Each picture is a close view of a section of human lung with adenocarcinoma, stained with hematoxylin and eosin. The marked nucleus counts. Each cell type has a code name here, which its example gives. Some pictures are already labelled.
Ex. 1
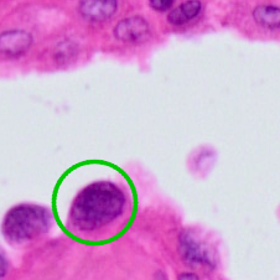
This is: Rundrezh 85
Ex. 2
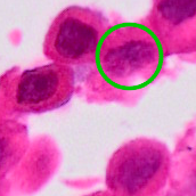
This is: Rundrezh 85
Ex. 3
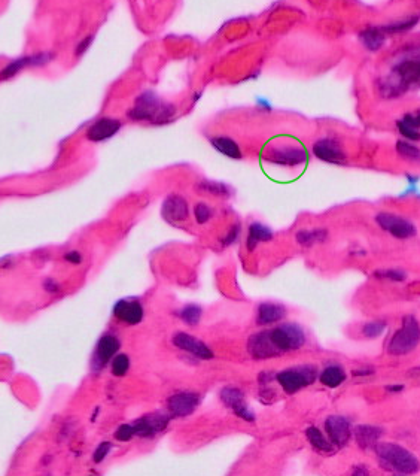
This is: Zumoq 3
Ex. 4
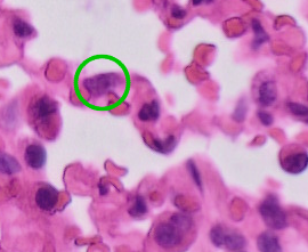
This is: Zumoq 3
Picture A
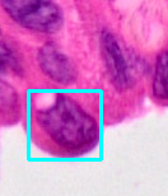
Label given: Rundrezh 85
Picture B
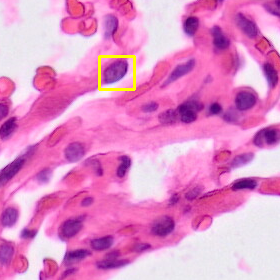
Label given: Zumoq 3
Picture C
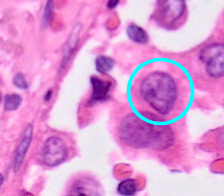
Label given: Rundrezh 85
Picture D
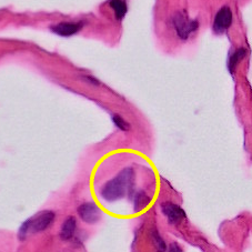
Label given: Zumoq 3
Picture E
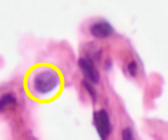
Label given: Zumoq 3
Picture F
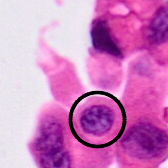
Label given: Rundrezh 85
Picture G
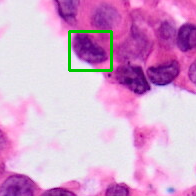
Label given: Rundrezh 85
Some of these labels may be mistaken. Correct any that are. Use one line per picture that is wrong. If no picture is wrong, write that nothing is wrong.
All labels are correct.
